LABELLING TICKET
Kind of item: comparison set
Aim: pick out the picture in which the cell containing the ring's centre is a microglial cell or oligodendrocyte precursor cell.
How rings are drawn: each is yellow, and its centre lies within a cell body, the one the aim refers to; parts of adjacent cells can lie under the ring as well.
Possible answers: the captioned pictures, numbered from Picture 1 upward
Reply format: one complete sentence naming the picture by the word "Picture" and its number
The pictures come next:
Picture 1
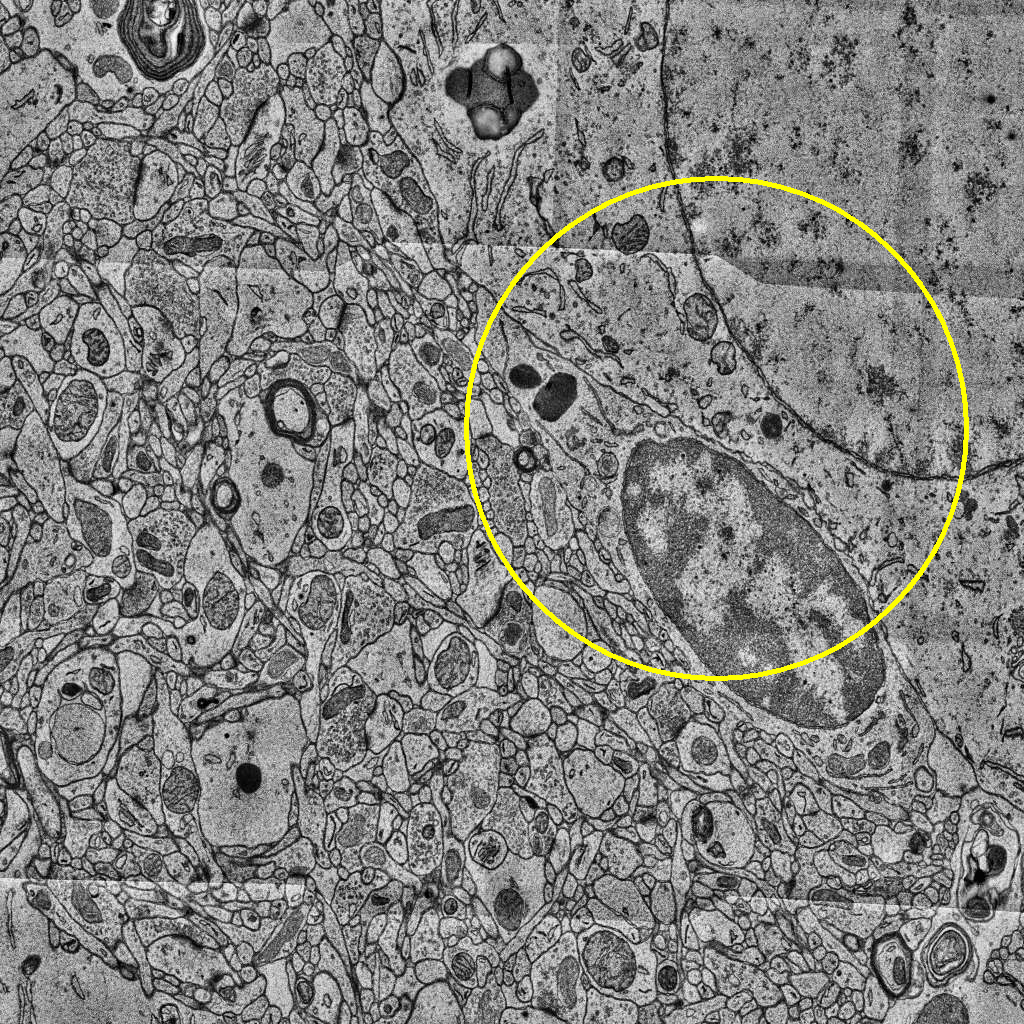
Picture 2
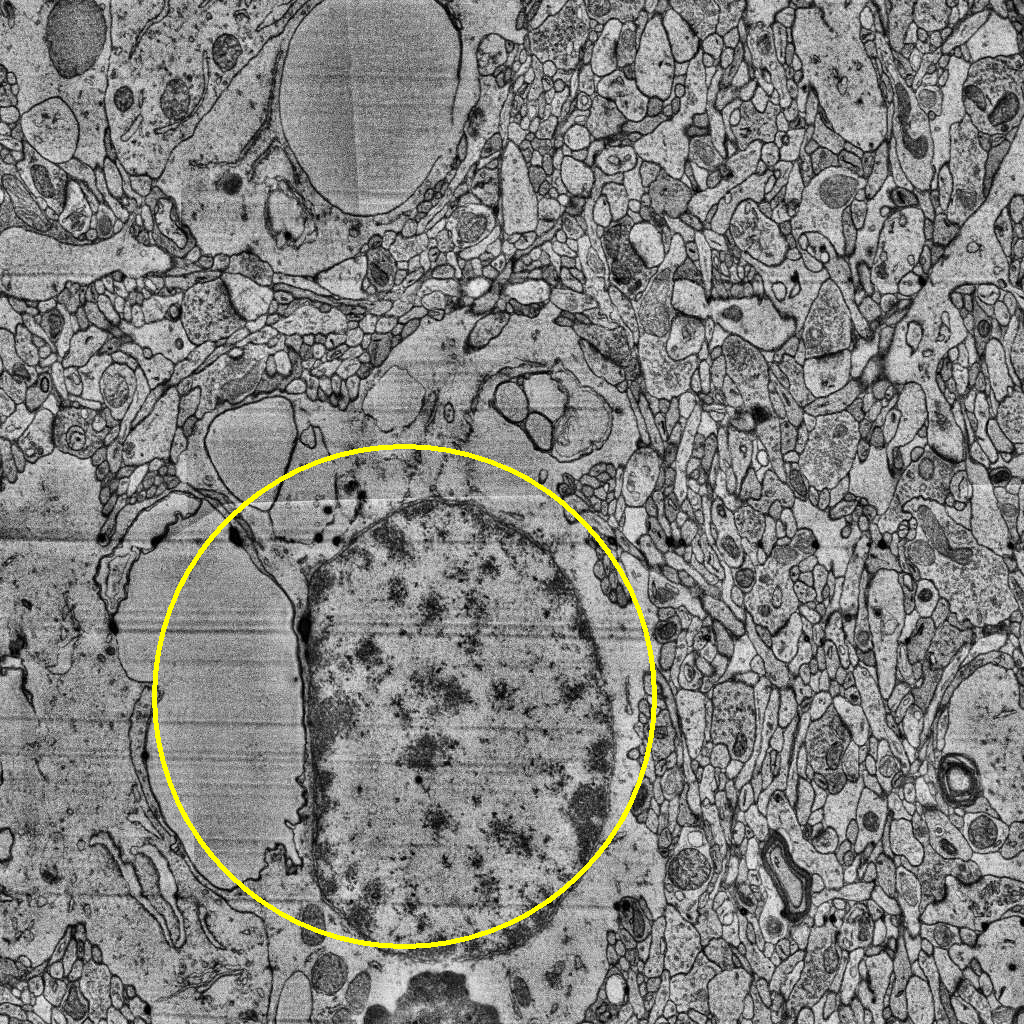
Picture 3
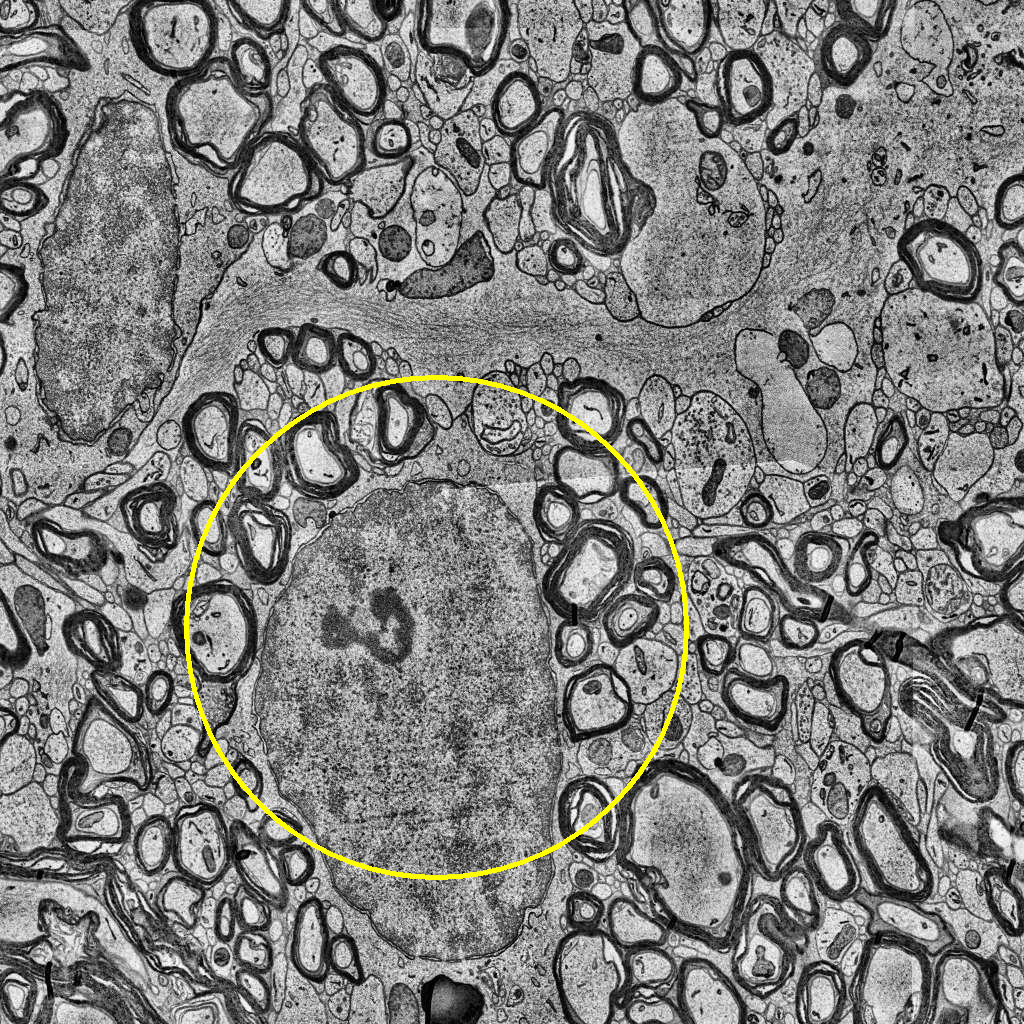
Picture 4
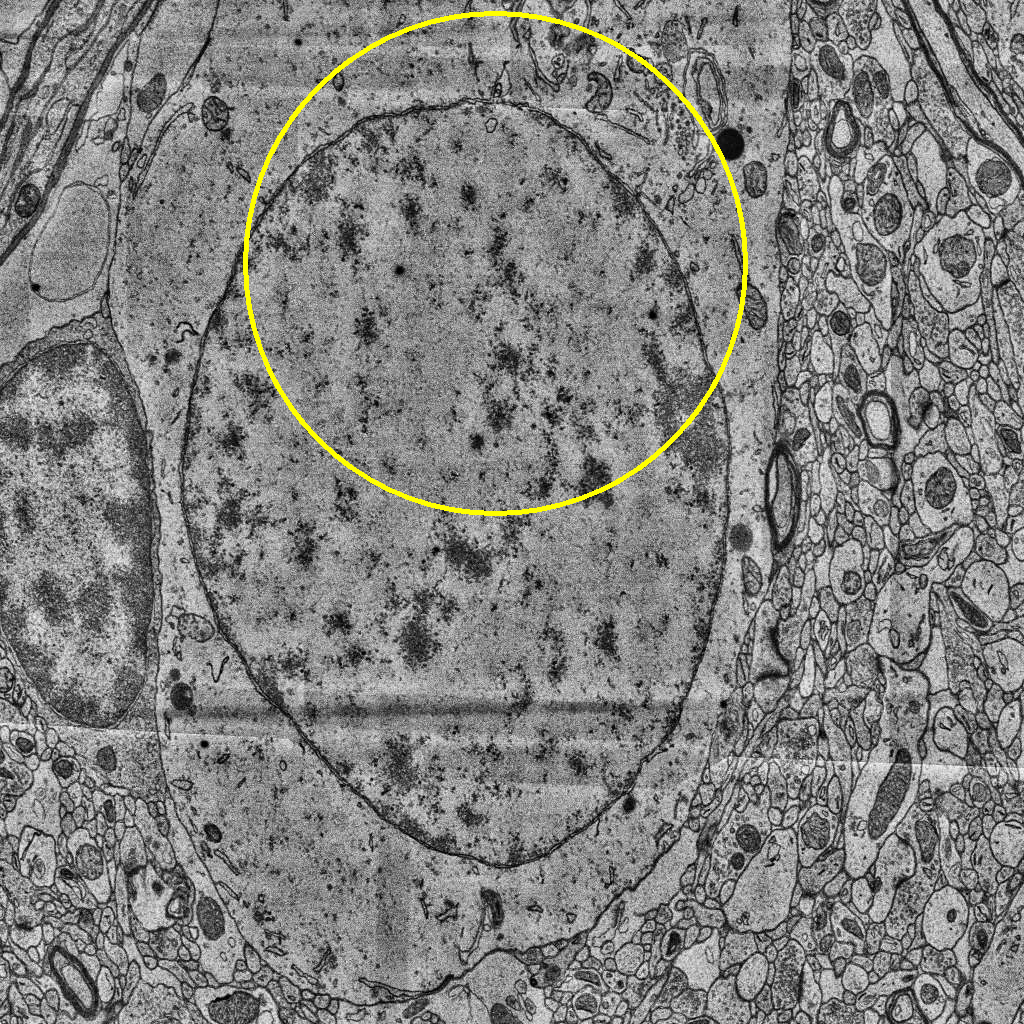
The cell containing the middle of the yellow ring in Picture 1 is the requested one.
